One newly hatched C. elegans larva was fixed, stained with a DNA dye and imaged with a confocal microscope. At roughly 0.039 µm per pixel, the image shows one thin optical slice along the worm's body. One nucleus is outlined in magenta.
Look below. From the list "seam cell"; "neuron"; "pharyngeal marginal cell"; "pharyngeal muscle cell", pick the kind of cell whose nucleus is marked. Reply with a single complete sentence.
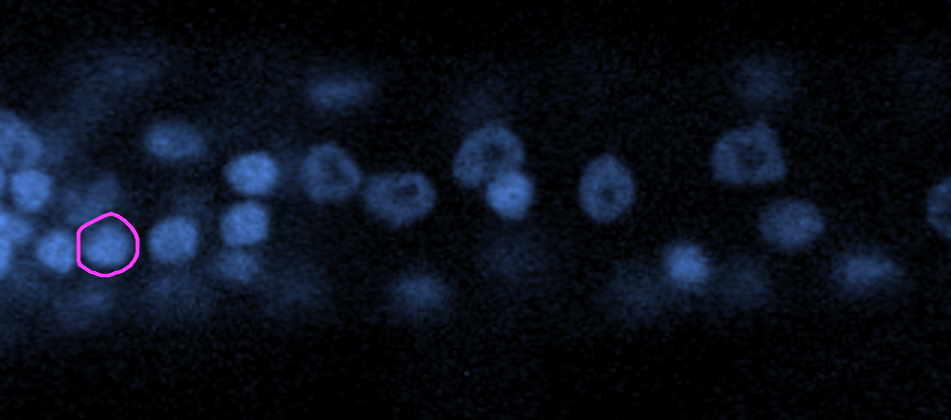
The marked nucleus belongs to a neuron.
